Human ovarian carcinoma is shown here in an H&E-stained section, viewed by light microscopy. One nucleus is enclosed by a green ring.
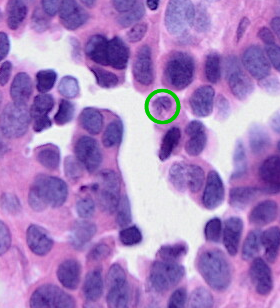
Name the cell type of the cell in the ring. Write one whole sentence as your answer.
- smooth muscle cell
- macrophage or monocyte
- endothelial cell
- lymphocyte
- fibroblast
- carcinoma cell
The cell in the ring appears to be a macrophage or monocyte.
